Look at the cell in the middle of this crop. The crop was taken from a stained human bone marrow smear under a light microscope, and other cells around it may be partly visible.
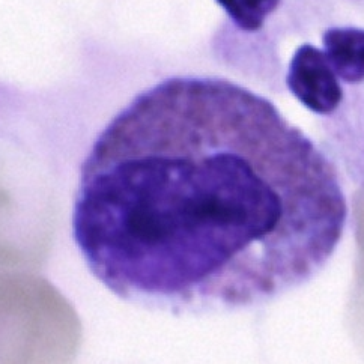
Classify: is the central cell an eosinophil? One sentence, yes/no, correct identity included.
Yes, the cell in the middle of this smear crop is an eosinophil.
